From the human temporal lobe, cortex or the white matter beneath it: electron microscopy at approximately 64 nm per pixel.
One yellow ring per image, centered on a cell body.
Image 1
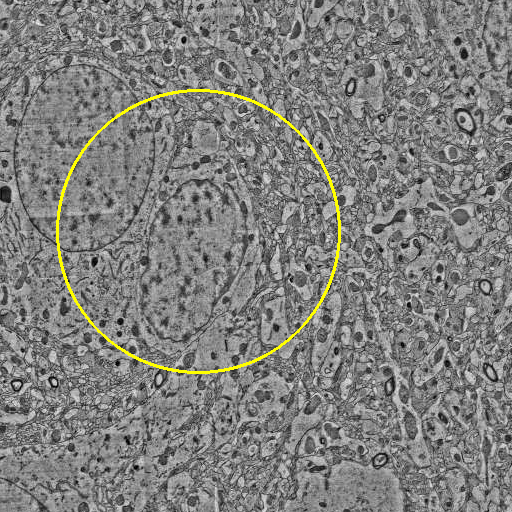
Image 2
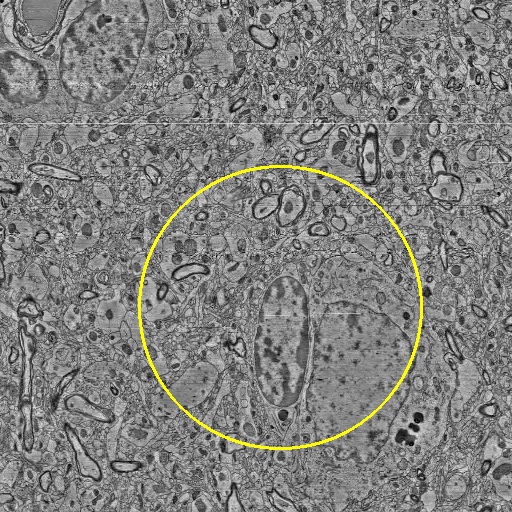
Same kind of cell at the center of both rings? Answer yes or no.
no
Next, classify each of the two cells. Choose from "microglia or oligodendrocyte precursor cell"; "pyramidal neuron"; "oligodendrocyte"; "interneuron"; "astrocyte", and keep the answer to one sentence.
In the first picture it is an interneuron; in the second it is a microglial cell or oligodendrocyte precursor cell.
